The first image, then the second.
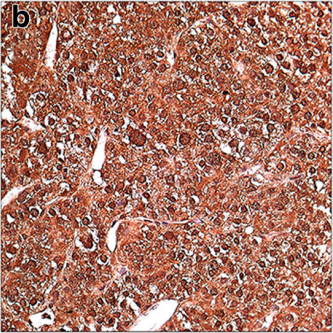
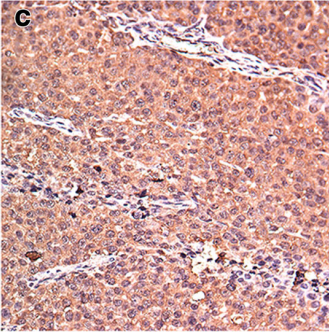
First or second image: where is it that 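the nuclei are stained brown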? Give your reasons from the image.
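Second image: tumour cell nuclei are blue-purple, standing out against light brown cytoplasm. First image: tumour cells are intensely brown throughout, nuclei included.
The first image.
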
